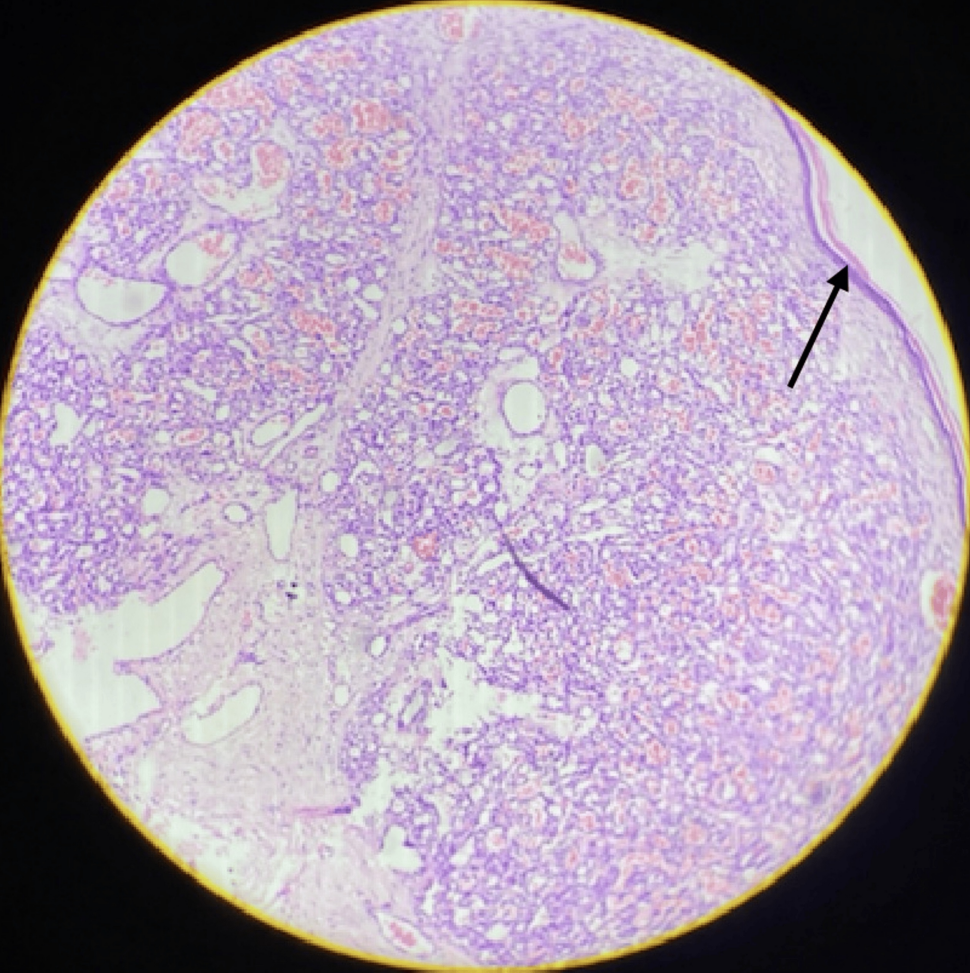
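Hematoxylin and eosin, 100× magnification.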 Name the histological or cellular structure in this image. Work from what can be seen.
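Many small round lumina hold red blood cells. Densely packed purple cellular areas are divided into lobules by pale pink fibrous bands. Some larger, dilated vessels lie in the pale septa.
Conclusion: small proliferating vessels arranged in a lobular configuration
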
